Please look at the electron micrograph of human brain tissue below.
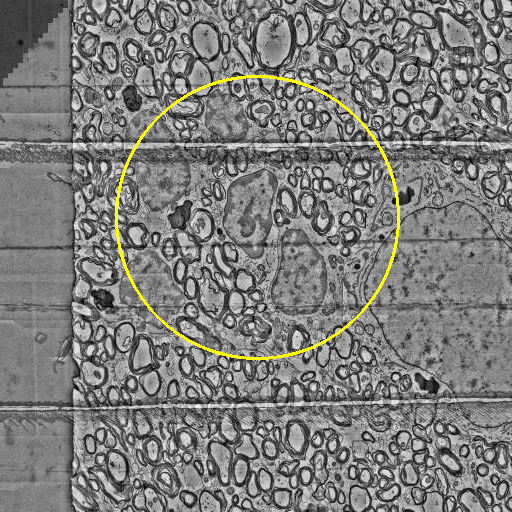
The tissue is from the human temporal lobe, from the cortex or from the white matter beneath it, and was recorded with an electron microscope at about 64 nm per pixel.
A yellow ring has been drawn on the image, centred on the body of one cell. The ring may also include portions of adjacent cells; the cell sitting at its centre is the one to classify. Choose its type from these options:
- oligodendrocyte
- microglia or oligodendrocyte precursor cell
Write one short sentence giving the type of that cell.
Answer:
The cell in the middle of the ring is a microglial cell or oligodendrocyte precursor cell.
